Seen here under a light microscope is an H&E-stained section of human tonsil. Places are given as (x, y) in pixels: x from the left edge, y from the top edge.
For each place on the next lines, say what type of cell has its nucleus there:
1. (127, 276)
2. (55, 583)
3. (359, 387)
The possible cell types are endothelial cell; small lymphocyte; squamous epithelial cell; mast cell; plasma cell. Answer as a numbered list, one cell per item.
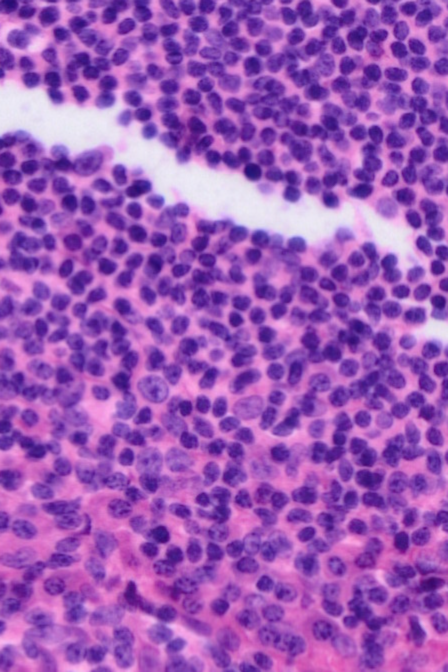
1. small lymphocyte
2. plasma cell
3. small lymphocyte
